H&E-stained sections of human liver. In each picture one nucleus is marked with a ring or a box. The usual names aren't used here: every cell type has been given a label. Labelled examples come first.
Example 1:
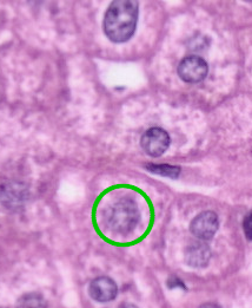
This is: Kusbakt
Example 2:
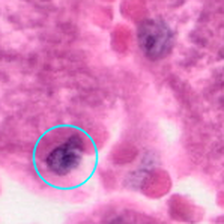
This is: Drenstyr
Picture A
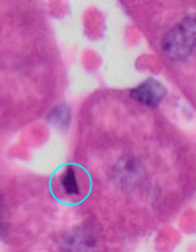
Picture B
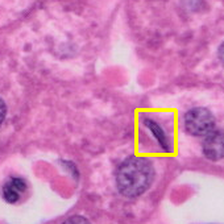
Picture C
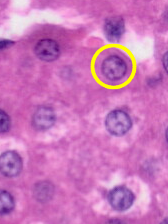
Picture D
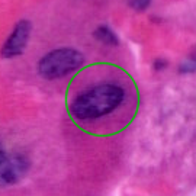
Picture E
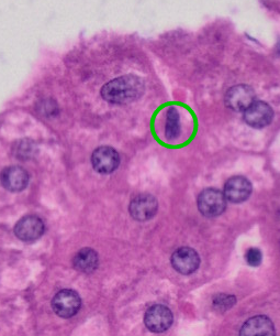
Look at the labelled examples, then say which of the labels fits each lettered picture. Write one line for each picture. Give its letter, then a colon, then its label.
A: Drenstyr
B: Drenstyr
C: Kusbakt
D: Kusbakt
E: Drenstyr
